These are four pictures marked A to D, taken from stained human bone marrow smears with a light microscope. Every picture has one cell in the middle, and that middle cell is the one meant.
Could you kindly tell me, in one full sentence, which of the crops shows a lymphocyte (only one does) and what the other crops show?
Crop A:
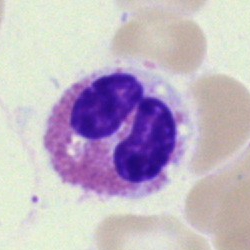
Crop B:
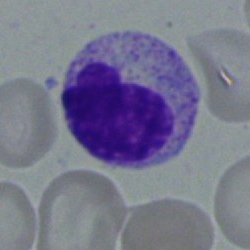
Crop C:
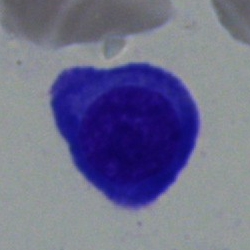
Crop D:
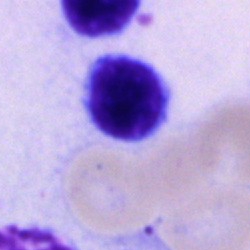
In crop D, a lymphocyte is the cell shown, while crop A is an eosinophil, crop B is a myelocyte and crop C is a plasma cell.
